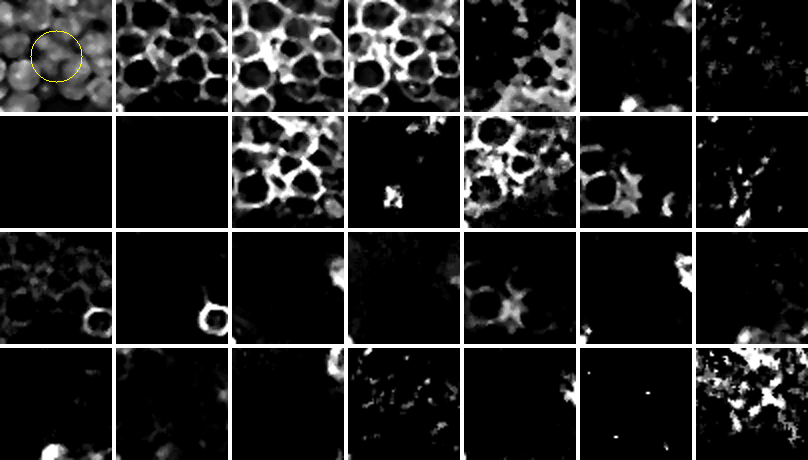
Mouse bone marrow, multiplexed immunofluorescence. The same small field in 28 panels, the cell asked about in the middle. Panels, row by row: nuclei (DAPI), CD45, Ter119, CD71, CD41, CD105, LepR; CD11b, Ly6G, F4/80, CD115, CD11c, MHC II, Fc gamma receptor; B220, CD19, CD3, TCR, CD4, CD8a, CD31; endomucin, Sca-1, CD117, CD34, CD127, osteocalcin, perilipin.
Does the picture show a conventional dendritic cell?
Yes.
